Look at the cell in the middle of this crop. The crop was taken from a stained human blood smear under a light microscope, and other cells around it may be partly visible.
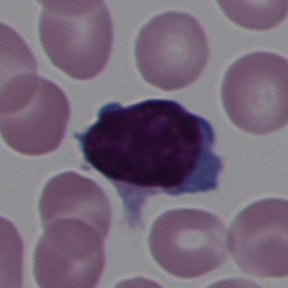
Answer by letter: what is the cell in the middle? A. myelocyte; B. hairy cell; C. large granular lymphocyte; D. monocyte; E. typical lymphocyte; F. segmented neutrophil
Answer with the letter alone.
E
